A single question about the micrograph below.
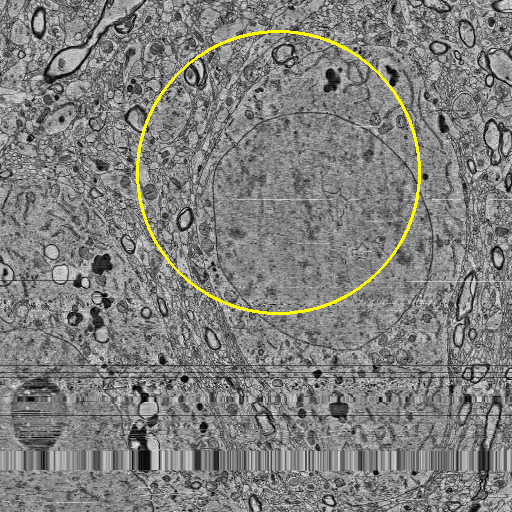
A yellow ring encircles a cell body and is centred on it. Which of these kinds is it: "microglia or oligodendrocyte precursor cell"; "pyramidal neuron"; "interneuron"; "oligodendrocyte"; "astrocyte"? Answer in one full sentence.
The cell body at the centre of the yellow ring belongs to a pyramidal neuron.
